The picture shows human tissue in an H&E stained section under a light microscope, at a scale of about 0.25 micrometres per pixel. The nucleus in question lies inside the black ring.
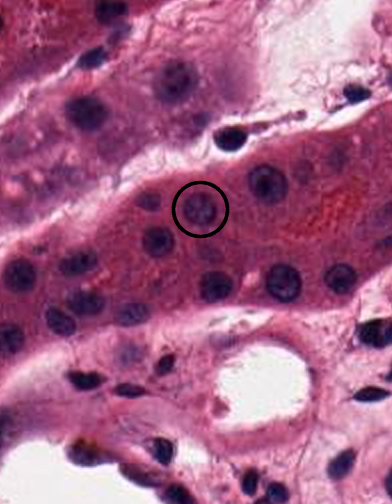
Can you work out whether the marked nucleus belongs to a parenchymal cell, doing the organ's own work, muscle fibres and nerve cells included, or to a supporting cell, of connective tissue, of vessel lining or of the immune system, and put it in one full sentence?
The marked nucleus is that of a proximal tubule cell, which is a parenchymal cell.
